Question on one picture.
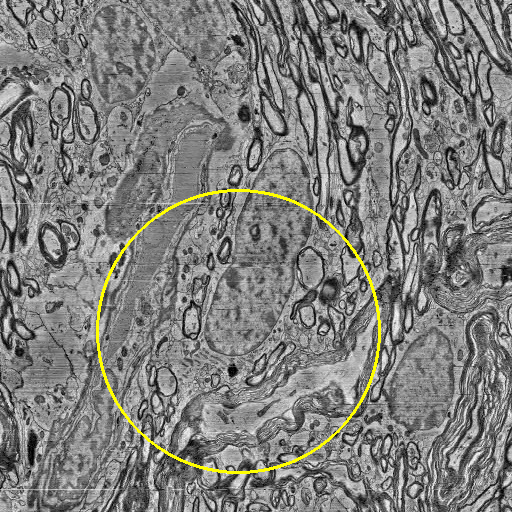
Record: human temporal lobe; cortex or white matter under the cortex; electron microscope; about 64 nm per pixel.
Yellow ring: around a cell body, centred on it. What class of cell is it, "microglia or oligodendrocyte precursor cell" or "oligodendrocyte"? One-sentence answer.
This is a microglial cell or oligodendrocyte precursor cell, the cell the ring is centred on.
